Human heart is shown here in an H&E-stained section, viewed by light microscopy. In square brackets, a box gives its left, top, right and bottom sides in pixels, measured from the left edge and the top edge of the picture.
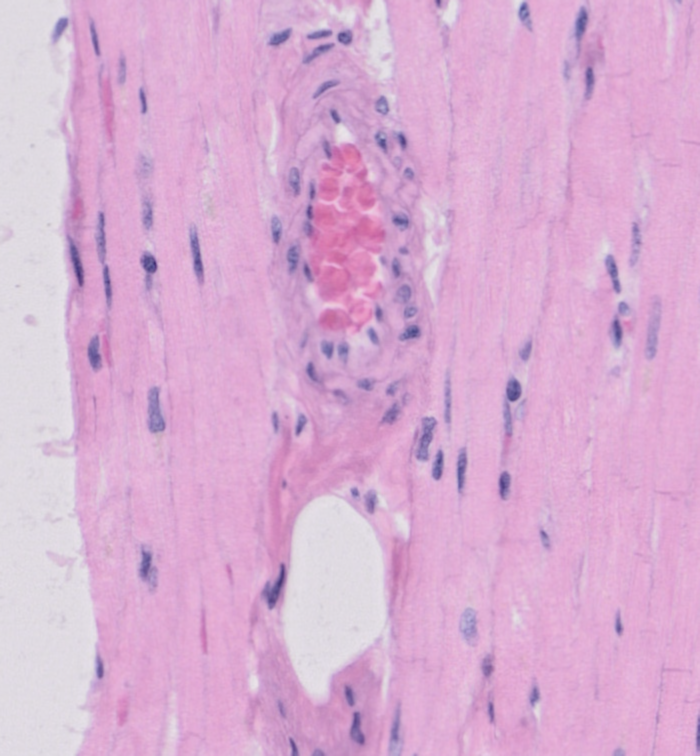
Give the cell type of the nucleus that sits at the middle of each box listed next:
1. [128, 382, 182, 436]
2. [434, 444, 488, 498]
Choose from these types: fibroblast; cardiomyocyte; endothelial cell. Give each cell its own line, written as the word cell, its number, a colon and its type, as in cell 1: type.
cell 1: cardiomyocyte
cell 2: endothelial cell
